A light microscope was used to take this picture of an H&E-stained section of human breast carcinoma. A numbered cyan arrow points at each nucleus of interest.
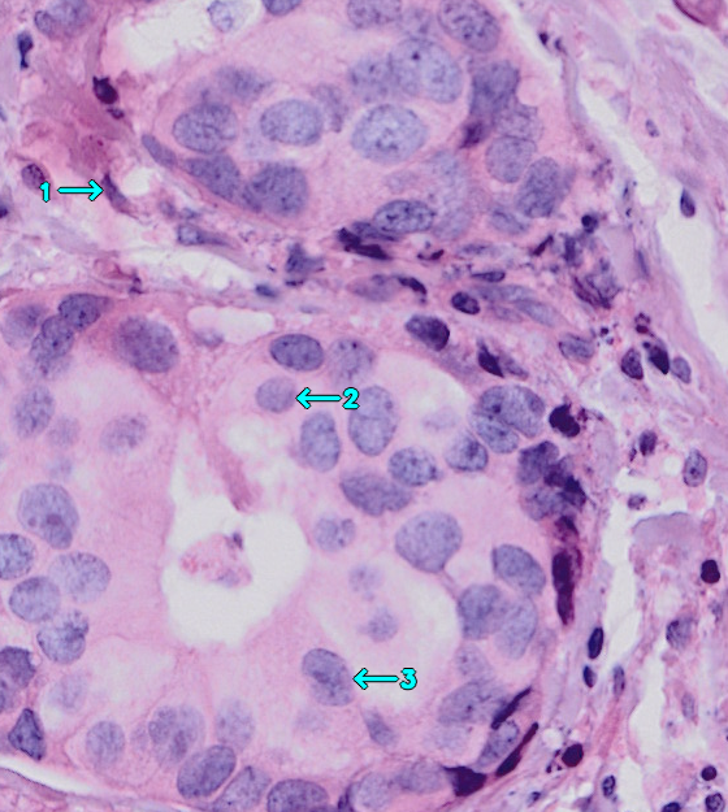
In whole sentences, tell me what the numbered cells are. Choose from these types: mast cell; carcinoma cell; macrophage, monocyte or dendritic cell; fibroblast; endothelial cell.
Cell 1 is a fibroblast, cell 2 is a carcinoma cell and cell 3 is a carcinoma cell.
